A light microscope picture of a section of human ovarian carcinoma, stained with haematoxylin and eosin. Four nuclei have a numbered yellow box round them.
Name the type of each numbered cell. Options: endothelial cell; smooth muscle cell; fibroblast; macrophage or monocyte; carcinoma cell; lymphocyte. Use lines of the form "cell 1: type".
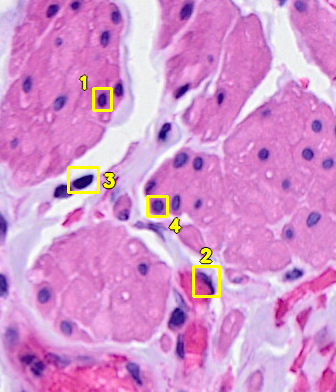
cell 1: smooth muscle cell
cell 2: endothelial cell
cell 3: lymphocyte
cell 4: smooth muscle cell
